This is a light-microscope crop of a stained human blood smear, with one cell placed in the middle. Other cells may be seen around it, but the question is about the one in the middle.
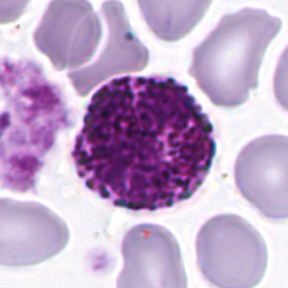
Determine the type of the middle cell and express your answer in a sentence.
The centrally placed cell is classified as a basophil.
